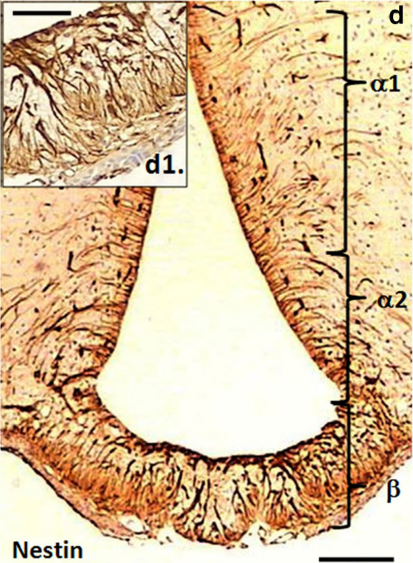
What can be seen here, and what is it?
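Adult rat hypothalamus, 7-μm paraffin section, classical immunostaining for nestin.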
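Section through the lower third ventricle, whose walls and floor are lined by tanycytes with brown-stained processes. Long, thin brown processes run from the ventricle surface deep into the surrounding tissue, lying roughly parallel to one another. The staining is densest in the thick floor beneath the ventricle, where the processes form a packed palisade. The inset shows this floor at higher power, with a dense array of brown fibres.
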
